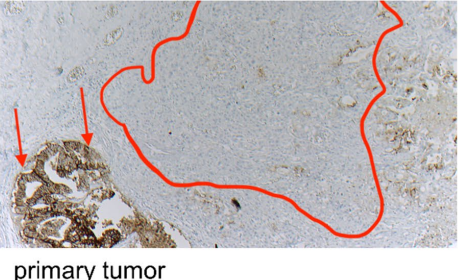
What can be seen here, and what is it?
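At the lower left, a compact cluster of tumor glands is stained strongly brown, with glandular spaces visible inside it. Scattered through the right side are small groups of tumor cells carrying only faint brown staining. The contrast between the dark cluster and the large unstained areas shows how patchy the staining is within one tumor.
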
